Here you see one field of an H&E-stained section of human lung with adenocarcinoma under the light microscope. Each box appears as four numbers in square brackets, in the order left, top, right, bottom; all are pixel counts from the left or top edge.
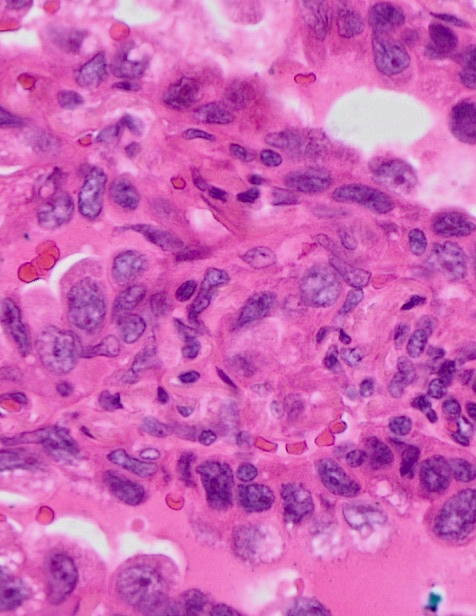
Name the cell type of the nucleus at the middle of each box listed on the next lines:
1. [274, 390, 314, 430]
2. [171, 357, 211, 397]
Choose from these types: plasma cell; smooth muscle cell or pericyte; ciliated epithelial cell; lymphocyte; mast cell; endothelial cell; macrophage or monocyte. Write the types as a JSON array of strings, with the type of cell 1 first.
["macrophage or monocyte", "lymphocyte"]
